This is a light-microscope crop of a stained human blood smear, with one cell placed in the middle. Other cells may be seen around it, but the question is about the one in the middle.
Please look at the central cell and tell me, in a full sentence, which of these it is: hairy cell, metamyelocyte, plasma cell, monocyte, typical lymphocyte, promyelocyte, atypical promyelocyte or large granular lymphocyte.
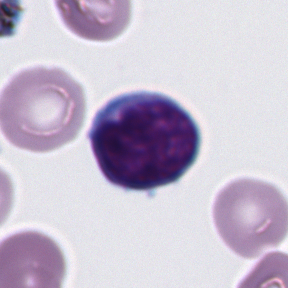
The target cell in the middle of the crop is a typical lymphocyte.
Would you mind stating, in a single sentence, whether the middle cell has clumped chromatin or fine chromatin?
Its nuclear chromatin is gathered into coarse clumps.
